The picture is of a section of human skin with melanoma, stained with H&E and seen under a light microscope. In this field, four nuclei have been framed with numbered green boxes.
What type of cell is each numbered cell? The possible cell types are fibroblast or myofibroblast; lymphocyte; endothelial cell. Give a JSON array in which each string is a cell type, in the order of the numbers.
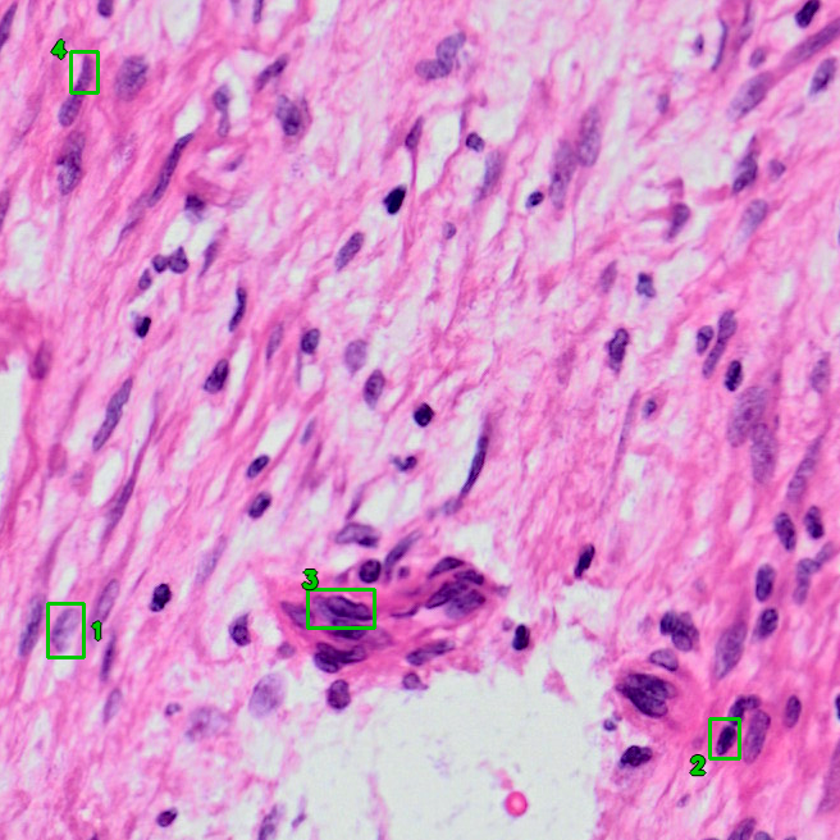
["fibroblast or myofibroblast", "lymphocyte", "endothelial cell", "fibroblast or myofibroblast"]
